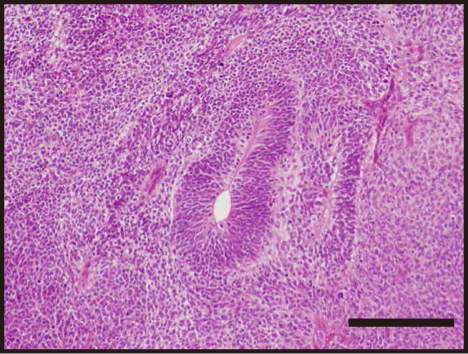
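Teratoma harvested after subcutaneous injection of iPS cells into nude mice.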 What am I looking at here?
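Tall, narrow cells with elongated dark nuclei are packed side by side and arranged radially around a small central lumen, forming a rosette or tube. The wall of this structure is thick, with nuclei stacked at several levels.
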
